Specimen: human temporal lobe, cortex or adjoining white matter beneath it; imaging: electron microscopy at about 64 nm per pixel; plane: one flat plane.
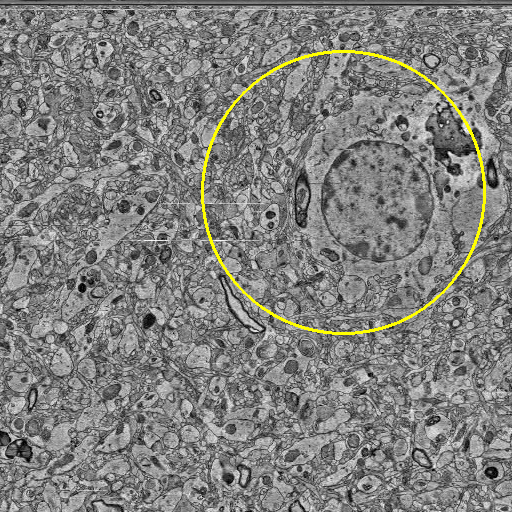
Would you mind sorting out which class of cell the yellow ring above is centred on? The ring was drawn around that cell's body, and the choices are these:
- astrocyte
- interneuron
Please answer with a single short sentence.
This is the cell body of an astrocyte.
